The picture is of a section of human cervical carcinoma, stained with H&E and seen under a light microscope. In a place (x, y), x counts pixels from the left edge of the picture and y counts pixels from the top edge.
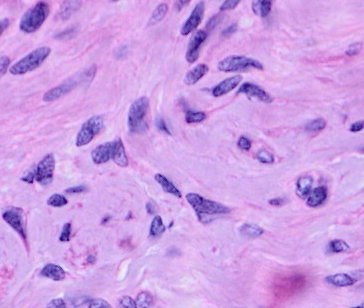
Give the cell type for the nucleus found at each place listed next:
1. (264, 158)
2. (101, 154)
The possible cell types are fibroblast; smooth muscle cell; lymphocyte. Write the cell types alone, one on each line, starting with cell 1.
smooth muscle cell
fibroblast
